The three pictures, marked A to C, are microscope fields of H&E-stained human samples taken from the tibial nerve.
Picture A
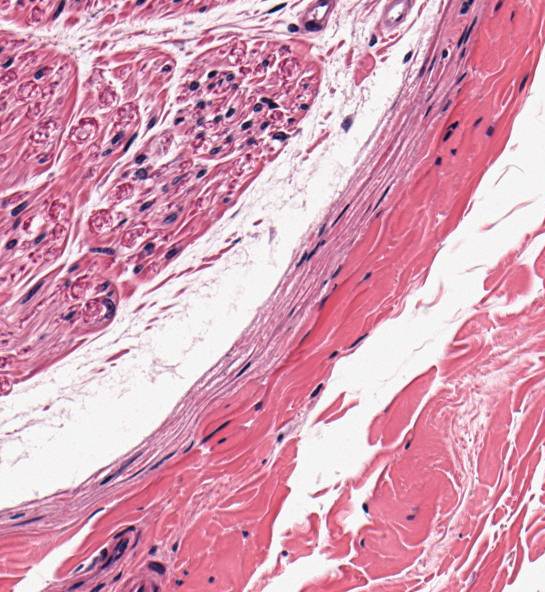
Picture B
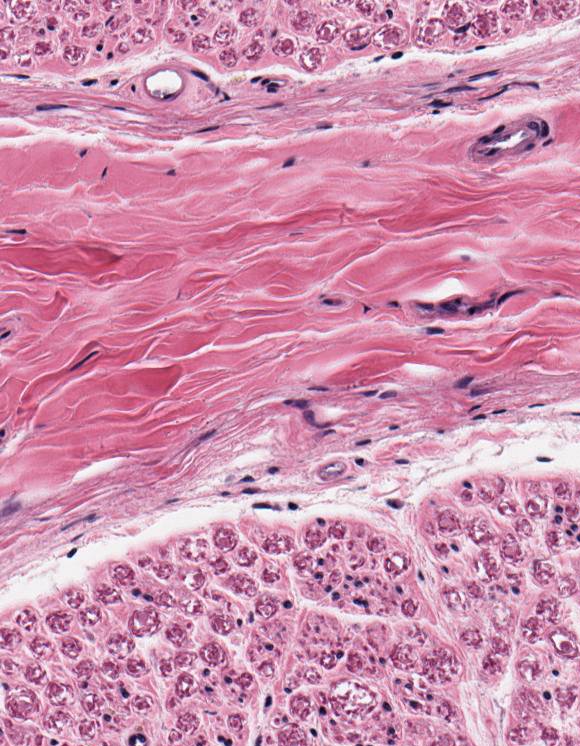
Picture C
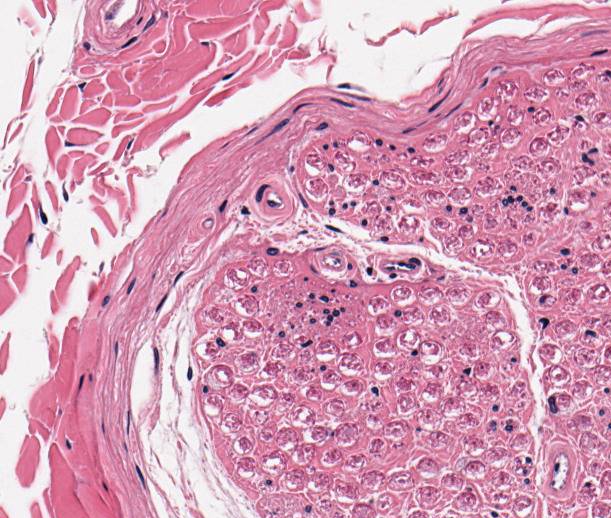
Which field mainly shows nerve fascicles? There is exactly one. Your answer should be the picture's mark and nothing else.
C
